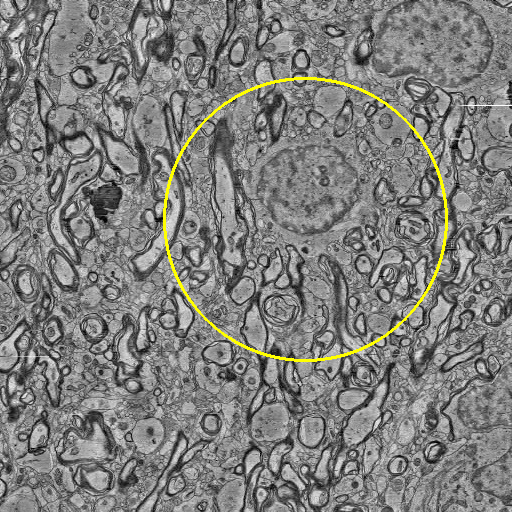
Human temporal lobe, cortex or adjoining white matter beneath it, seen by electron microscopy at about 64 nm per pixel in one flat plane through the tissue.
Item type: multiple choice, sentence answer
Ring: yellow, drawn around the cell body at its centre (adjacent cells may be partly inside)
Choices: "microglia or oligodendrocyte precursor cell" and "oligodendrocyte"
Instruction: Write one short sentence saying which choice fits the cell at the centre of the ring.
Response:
This ring is drawn around an oligodendrocyte.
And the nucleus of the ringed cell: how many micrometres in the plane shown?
In this plane, the nucleus of the cell at the centre of the ring is about 6 micrometres across.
